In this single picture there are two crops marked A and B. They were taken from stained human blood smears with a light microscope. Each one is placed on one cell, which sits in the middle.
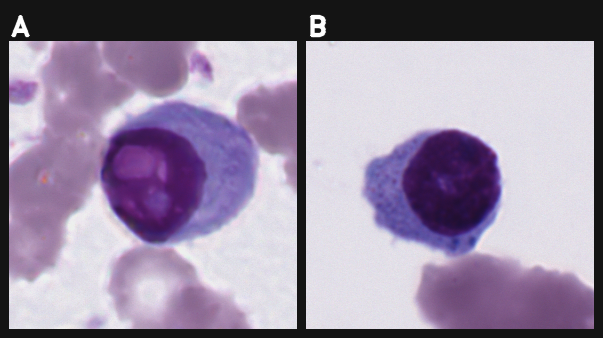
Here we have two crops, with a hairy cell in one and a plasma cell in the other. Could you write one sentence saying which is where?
In crop A the cell is a plasma cell, while in crop B it is a hairy cell.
